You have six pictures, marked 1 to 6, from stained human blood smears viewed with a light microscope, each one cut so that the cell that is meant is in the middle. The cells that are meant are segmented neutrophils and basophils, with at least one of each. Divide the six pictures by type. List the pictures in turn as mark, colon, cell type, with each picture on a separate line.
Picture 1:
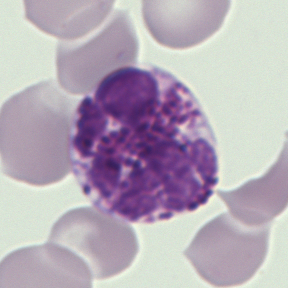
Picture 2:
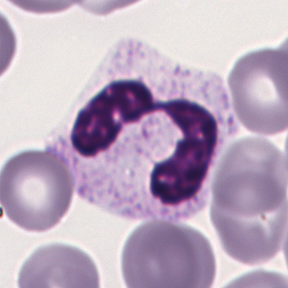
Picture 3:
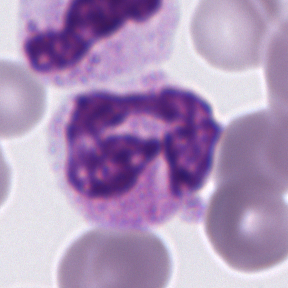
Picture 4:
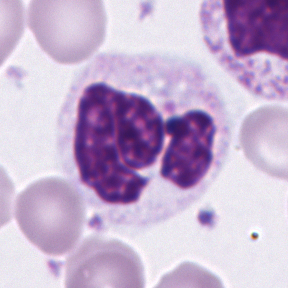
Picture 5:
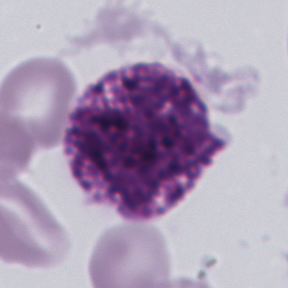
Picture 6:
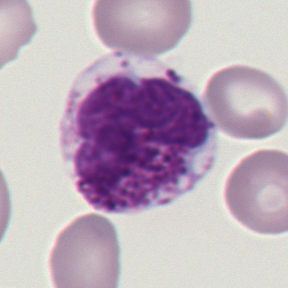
1: basophil
2: segmented neutrophil
3: segmented neutrophil
4: segmented neutrophil
5: basophil
6: basophil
